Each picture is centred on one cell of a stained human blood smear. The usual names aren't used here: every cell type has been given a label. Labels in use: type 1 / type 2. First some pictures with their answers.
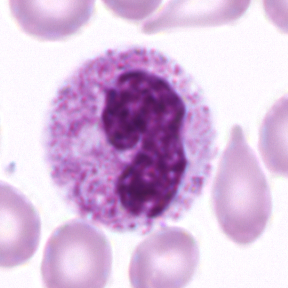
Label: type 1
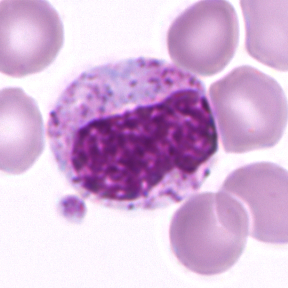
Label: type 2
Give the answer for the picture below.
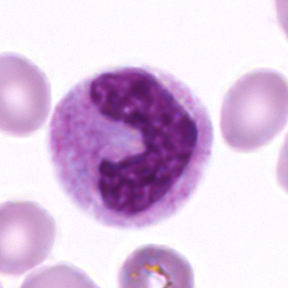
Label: type 1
